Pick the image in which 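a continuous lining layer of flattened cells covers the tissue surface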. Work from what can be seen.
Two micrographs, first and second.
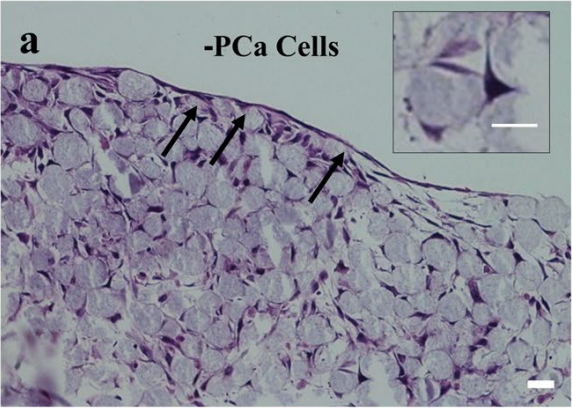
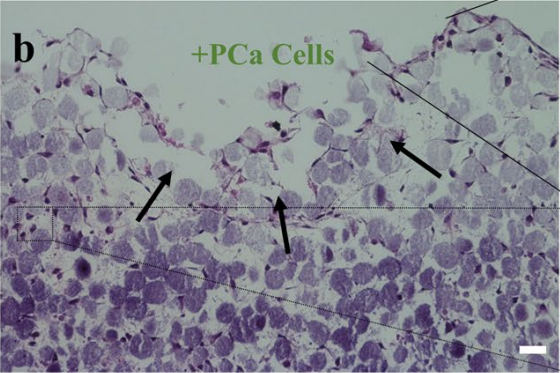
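Second image: the surface is ragged with gaps and no continuous lining. First image: a thin unbroken layer of flattened cells runs along the surface. So: the first image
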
